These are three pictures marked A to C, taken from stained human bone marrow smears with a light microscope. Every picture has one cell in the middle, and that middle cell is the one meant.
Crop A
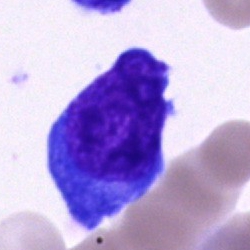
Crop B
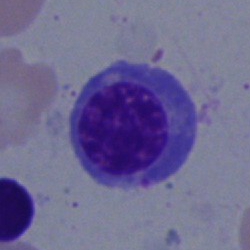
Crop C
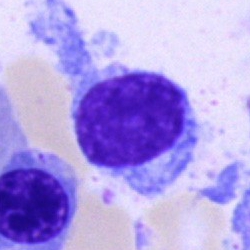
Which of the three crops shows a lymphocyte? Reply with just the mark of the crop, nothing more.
C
